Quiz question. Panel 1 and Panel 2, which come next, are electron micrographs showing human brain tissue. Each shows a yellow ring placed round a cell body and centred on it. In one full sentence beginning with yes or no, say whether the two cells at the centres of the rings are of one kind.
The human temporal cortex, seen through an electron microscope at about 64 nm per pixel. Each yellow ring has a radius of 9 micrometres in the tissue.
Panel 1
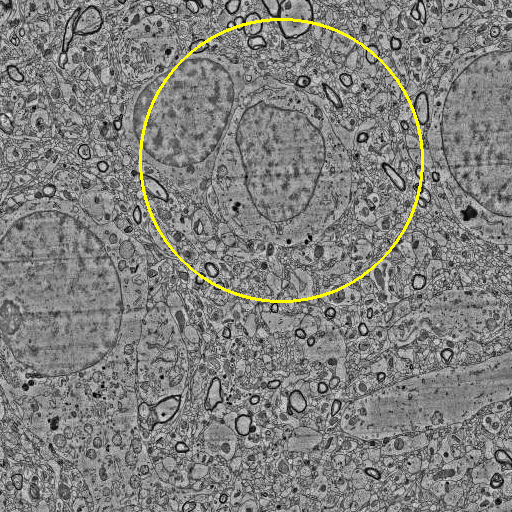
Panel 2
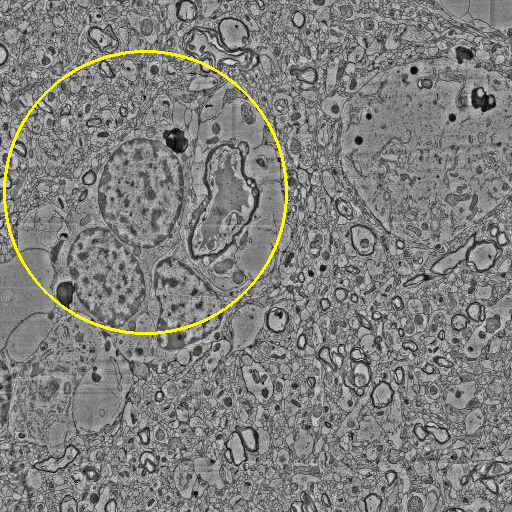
No, Panel 1 and Panel 2 show two kinds of cell at the centre of the ring.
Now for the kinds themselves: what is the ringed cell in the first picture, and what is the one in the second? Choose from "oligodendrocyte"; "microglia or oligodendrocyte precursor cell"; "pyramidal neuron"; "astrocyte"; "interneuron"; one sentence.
Here the first cell is a pyramidal neuron and the second cell is an oligodendrocyte.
